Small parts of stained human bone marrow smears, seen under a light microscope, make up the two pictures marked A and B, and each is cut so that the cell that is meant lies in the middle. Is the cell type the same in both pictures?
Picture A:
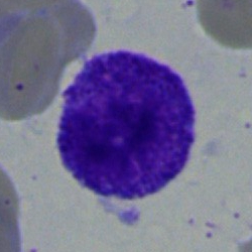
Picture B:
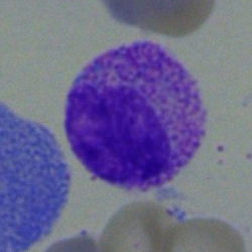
no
